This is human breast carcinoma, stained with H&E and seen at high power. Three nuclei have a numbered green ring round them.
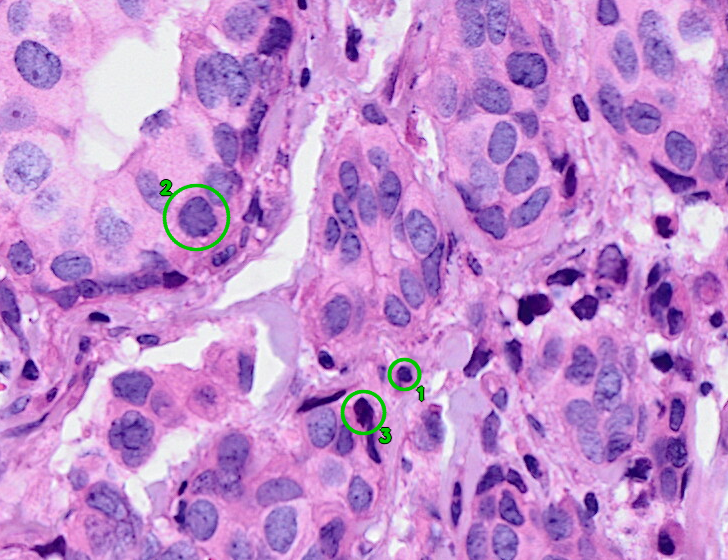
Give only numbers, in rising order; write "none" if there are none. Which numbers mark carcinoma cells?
2, 3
